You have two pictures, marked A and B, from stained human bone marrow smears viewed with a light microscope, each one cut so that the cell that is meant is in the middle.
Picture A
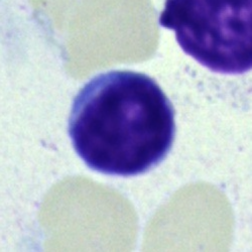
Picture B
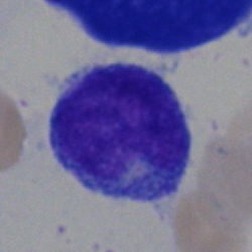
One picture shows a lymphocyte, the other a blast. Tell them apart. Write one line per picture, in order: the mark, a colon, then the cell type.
A: lymphocyte
B: blast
